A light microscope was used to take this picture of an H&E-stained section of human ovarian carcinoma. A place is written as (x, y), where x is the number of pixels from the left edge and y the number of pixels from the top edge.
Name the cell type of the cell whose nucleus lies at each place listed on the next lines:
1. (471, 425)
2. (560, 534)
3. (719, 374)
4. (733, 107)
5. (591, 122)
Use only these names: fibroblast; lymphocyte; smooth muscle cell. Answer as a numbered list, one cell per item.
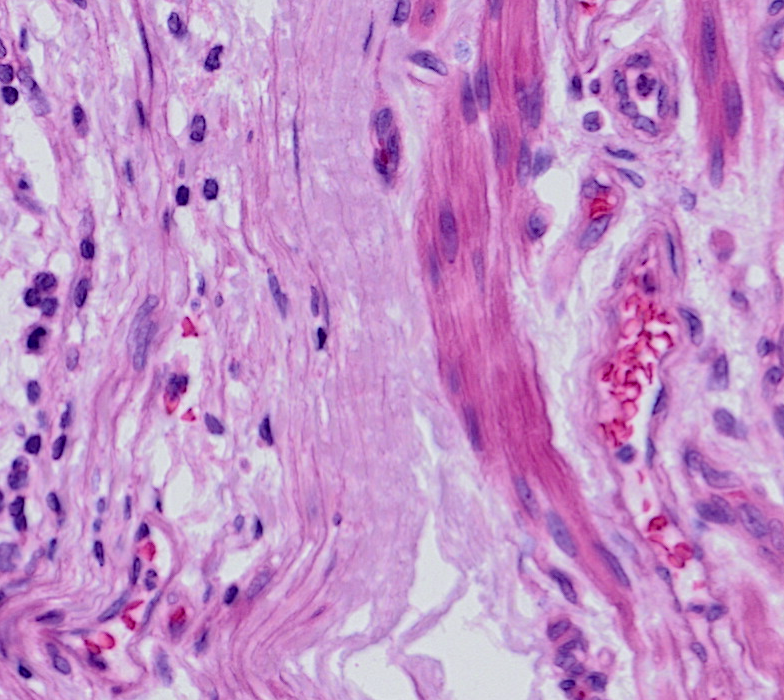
1. smooth muscle cell
2. smooth muscle cell
3. fibroblast
4. smooth muscle cell
5. lymphocyte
